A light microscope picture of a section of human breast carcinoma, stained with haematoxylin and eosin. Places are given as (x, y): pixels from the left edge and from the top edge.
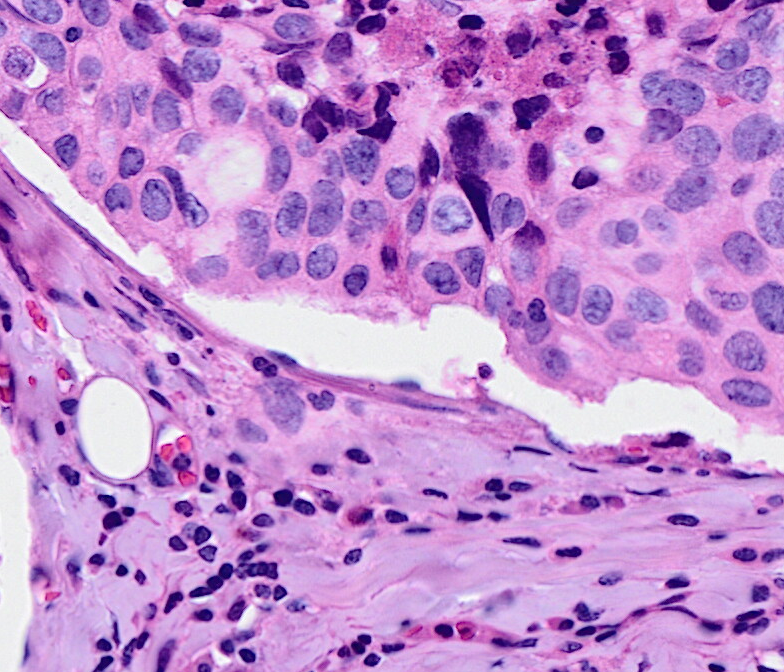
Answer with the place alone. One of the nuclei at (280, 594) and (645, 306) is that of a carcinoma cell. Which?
(645, 306)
